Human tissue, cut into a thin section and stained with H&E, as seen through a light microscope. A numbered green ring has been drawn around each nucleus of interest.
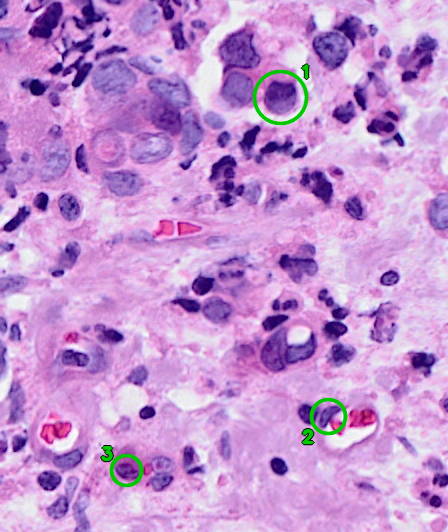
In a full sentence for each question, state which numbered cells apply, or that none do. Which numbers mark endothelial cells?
The cells that bear the numbers 2 and 3 are endothelial cells.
